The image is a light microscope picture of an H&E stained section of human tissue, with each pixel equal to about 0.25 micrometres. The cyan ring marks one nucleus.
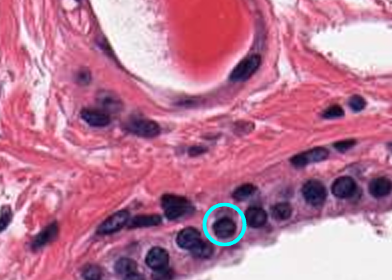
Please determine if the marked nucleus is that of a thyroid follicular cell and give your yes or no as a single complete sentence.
Yes, the marked nucleus is in a thyroid follicular cell.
